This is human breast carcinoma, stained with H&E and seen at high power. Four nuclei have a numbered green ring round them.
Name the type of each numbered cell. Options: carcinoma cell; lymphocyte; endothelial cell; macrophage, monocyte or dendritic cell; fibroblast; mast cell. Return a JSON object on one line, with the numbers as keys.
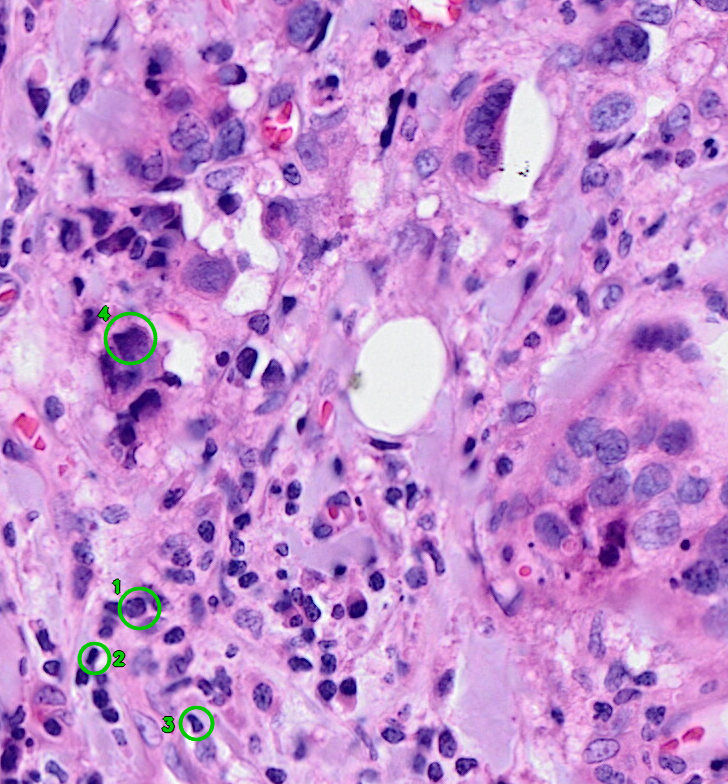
{"1": "lymphocyte", "2": "lymphocyte", "3": "lymphocyte", "4": "carcinoma cell"}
